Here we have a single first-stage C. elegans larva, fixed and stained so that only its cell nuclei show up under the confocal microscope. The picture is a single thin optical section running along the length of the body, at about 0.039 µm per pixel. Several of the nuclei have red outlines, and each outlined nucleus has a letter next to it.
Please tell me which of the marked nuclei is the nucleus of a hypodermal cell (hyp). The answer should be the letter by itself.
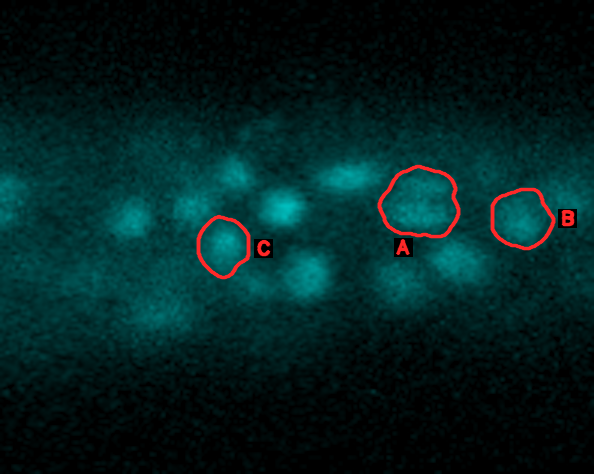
B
